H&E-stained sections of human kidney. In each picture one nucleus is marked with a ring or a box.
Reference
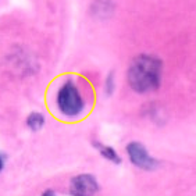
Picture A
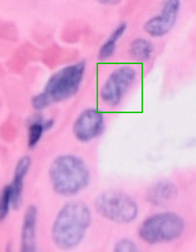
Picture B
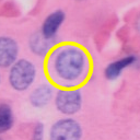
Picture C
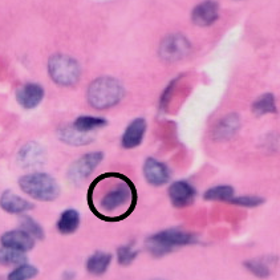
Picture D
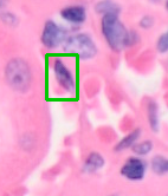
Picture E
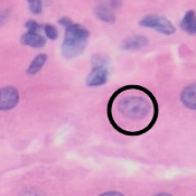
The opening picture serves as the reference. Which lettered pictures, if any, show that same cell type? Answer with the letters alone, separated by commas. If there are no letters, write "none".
C, D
